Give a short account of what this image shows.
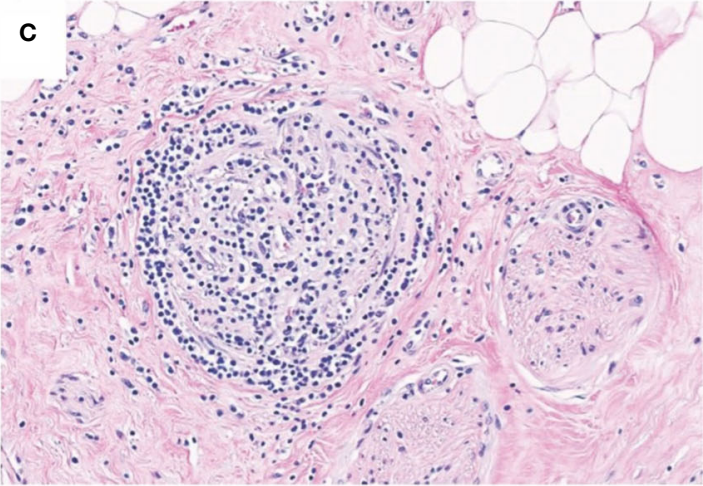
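This is deep dermis where a small blood vessel is surrounded and infiltrated by lymphocytes, a lymphocytic vasculitis. The vessel appears as a round profile cut across, its wall and surroundings crowded with small cells with round dark nuclei and little cytoplasm, which also lie within the layers of the wall, obscuring its normal structure. Around it lies pink collagen of the dermis with scattered cells, and in the upper right corner clear, empty-looking fat cells of the subcutis. Beside the inflamed vessel lie smaller rounded bundles of paler tissue with few inflammatory cells.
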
